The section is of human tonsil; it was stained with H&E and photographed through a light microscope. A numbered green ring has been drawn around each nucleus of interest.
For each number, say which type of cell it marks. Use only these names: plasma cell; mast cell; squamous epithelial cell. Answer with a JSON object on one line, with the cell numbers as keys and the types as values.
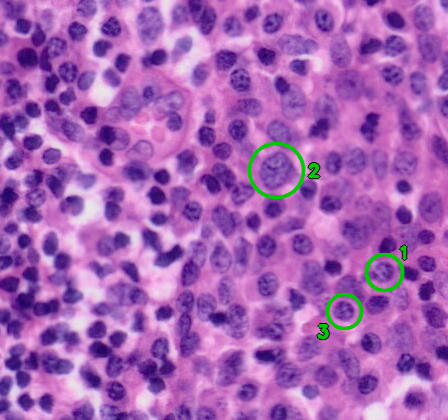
{"1": "plasma cell", "2": "squamous epithelial cell", "3": "plasma cell"}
